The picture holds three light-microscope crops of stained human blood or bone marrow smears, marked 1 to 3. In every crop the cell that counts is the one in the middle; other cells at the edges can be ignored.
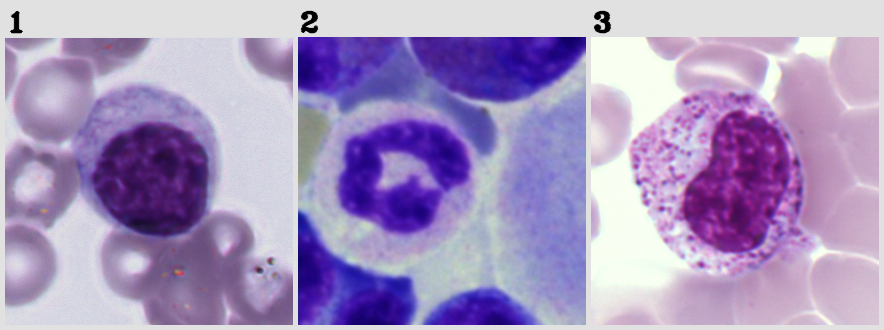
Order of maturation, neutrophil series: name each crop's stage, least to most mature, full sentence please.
Ranked from the least mature cell to the most mature, they are crop 1 (a myelocyte), crop 3 (a metamyelocyte) and crop 2 (a segmented neutrophil).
